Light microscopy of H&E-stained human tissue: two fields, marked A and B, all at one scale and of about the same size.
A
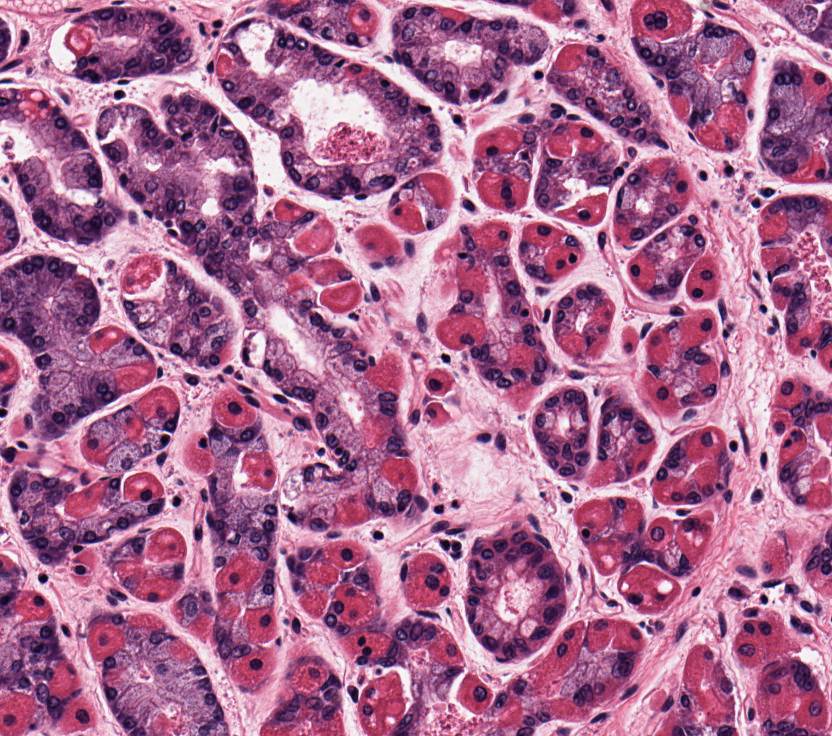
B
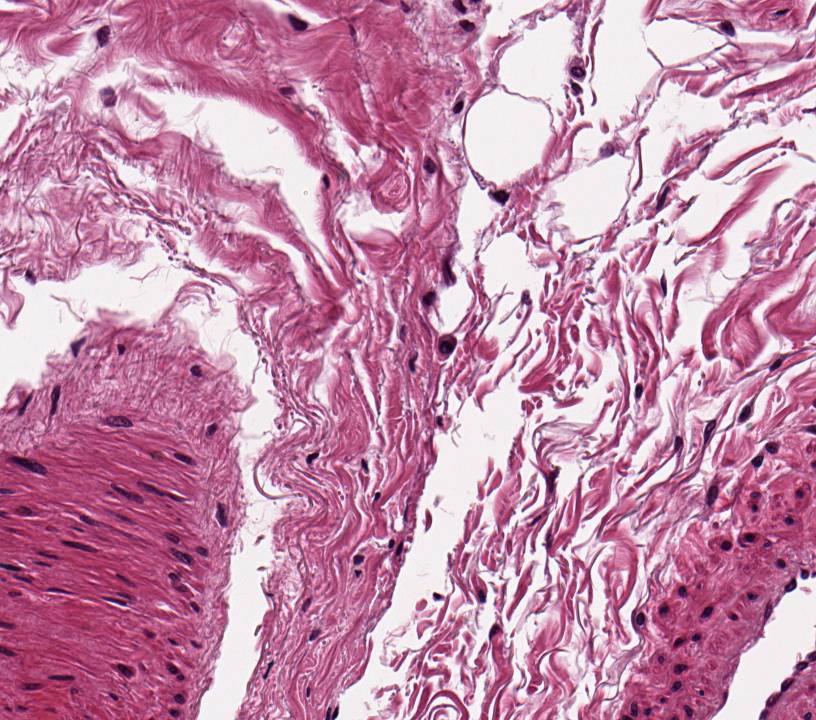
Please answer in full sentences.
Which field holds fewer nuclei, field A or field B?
Fewer nuclei lie in field B than in field A.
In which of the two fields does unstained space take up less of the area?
It is field A that stained tissue fills more completely.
